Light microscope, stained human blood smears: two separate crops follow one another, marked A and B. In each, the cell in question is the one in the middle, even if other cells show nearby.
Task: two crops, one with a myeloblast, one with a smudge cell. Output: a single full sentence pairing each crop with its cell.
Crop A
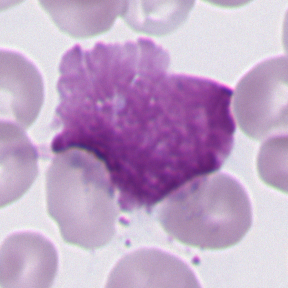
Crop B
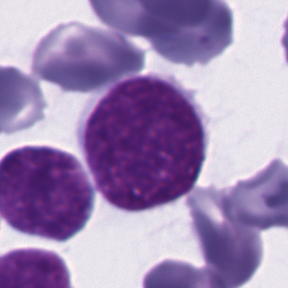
Crop A displays a smudge cell, and crop B displays a myeloblast.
